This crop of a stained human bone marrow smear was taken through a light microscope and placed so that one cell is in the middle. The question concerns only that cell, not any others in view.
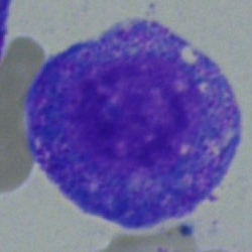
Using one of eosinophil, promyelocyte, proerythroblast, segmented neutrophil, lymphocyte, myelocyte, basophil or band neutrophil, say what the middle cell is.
promyelocyte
